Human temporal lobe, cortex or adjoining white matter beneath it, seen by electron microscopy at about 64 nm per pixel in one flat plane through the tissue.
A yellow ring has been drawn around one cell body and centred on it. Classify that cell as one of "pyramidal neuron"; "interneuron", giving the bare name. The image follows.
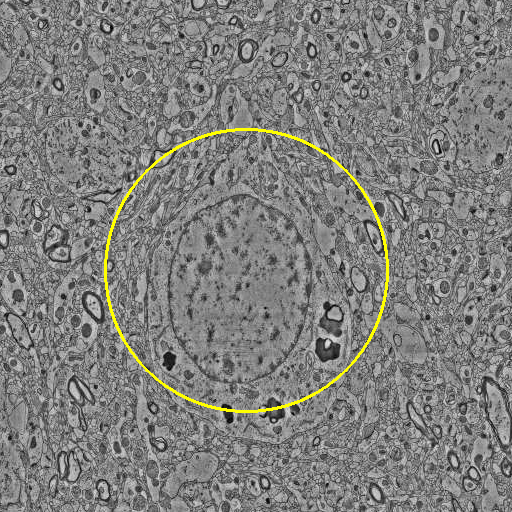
interneuron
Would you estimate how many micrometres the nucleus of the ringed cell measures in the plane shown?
In this plane, the nucleus of the cell at the centre of the ring measures about 12 by 9 micrometres.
